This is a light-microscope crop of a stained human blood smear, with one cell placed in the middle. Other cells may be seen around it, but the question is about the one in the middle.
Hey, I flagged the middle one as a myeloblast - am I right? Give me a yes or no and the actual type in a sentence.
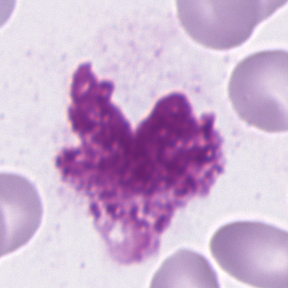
No, not a myeloblast here; the centered cell is a smudge cell.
